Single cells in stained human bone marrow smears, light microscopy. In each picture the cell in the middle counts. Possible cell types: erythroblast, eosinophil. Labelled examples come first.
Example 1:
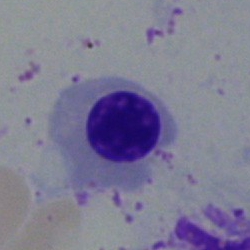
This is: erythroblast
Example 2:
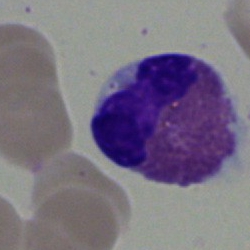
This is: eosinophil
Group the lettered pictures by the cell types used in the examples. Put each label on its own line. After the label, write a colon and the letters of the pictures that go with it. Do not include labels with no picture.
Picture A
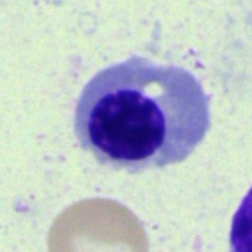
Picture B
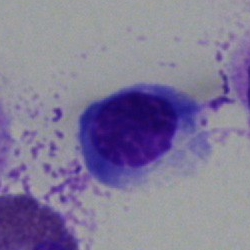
erythroblast: A, B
